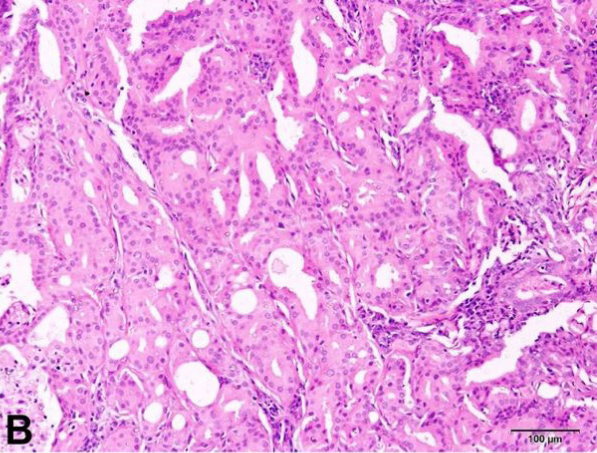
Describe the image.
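Medium power view of a glandular lesion made of many irregular, branching and round glandular spaces lined by cells with abundant pink cytoplasm and small round nuclei. The glands are crowded together and separated by narrow strands of connective tissue. Some lumens are empty, others hold pale pink material. Between the glands, particularly towards the right, small cells with dense dark round nuclei gather in loose clusters, representing interspersed inflammation. The overall pattern is that of a cellular, gland-forming proliferation of cells rich in eosinophilic cytoplasm.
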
